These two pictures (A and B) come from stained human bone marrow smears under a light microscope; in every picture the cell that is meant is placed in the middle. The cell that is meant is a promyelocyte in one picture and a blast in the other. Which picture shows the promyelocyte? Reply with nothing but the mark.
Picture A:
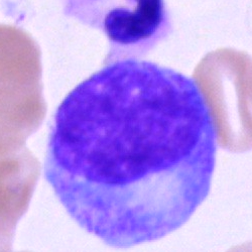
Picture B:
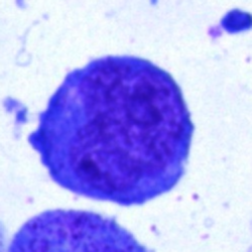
A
